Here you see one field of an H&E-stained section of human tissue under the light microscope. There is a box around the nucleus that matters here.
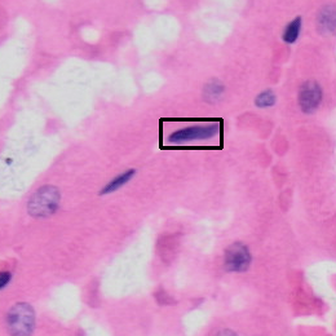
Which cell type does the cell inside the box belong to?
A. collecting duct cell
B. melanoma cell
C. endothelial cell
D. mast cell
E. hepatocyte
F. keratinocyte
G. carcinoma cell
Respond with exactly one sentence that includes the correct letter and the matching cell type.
Option C holds, since the cell inside the box is an endothelial cell.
